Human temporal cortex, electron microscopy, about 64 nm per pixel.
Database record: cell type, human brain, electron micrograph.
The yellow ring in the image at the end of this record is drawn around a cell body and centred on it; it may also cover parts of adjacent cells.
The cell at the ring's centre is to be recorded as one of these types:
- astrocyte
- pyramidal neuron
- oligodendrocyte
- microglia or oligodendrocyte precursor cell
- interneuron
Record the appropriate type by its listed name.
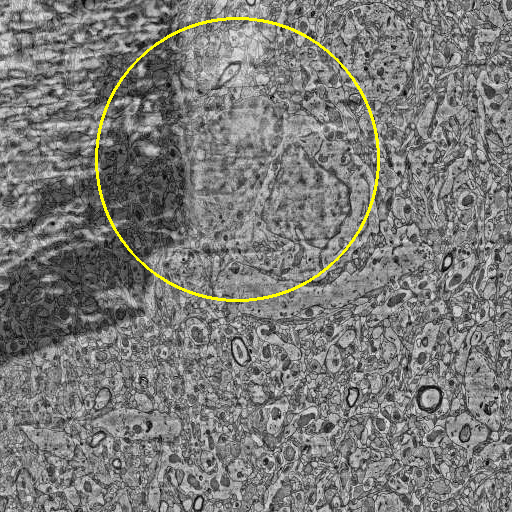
oligodendrocyte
